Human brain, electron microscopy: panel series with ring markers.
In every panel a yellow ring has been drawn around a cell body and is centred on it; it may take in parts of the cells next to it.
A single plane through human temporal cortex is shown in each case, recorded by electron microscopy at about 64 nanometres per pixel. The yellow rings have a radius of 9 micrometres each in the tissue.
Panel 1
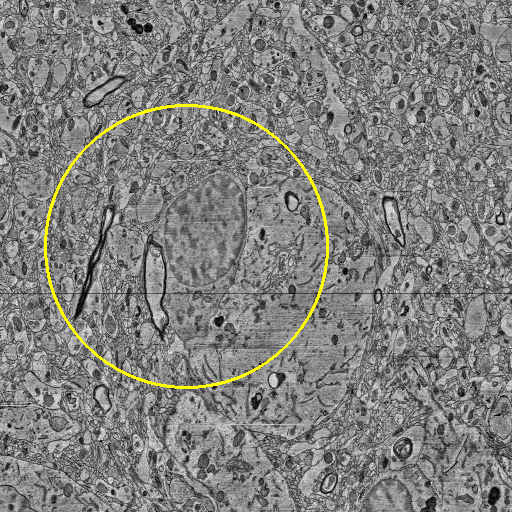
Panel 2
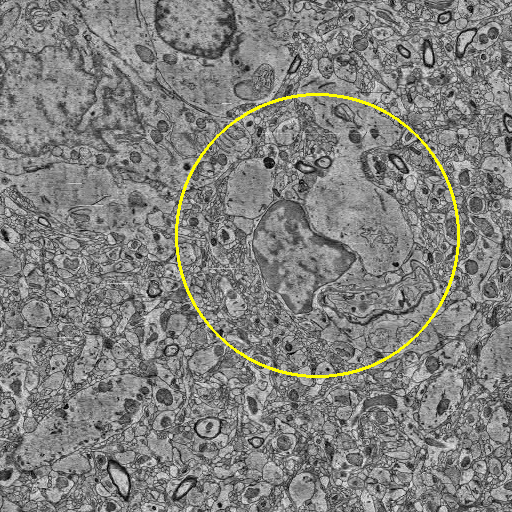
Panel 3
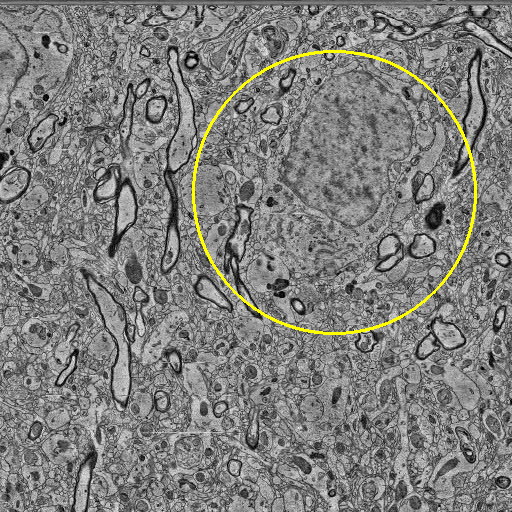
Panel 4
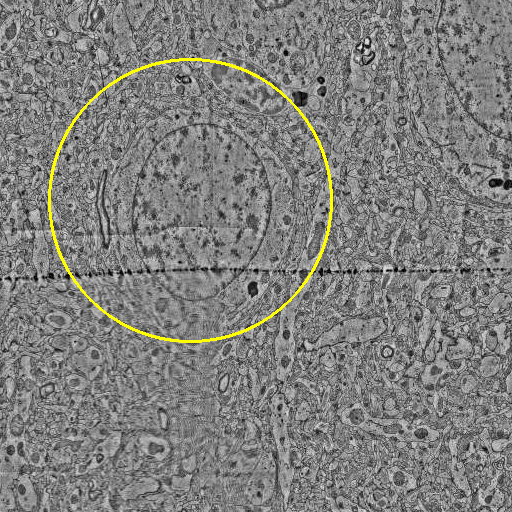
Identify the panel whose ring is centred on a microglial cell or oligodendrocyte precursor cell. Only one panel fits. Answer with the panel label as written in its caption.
Panel 2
